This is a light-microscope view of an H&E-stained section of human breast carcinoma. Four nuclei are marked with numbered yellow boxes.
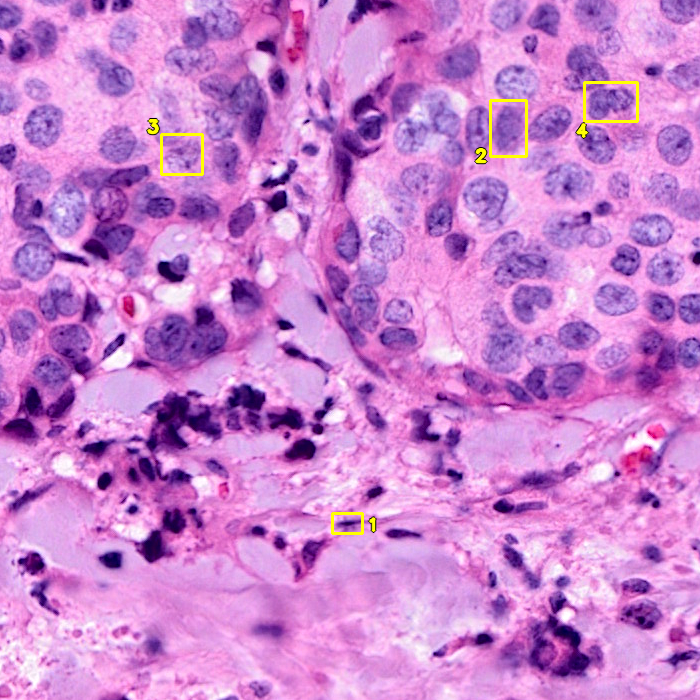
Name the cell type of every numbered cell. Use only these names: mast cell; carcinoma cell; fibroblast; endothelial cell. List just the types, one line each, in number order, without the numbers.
fibroblast
carcinoma cell
carcinoma cell
carcinoma cell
